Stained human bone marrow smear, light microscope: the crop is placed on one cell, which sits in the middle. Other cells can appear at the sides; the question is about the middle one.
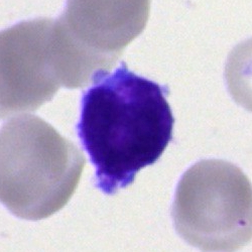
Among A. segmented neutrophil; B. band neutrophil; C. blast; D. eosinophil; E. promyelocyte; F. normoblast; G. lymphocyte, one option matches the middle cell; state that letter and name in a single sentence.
Well, the cell in the middle is a blast, making option C right.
